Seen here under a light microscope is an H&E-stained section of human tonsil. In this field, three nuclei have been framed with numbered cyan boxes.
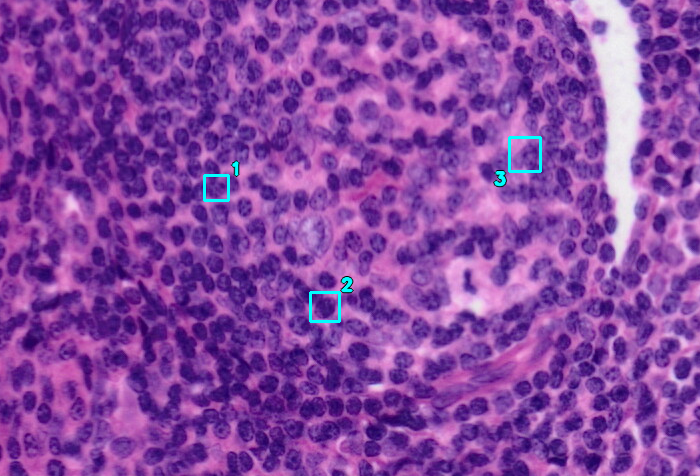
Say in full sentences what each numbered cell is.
Cell 1 is a small lymphocyte, cell 2 is a small lymphocyte and cell 3 is a proliferating B cell.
